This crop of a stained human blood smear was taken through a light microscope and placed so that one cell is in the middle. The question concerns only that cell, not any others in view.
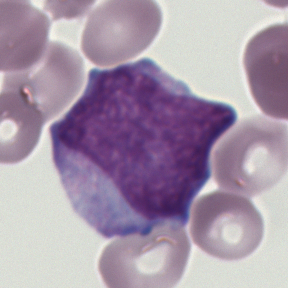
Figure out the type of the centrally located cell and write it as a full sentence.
The target cell in the middle of the crop is an atypical promyelocyte.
